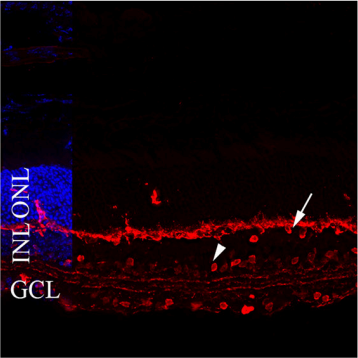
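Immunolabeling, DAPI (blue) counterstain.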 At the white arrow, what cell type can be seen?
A: horizontal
